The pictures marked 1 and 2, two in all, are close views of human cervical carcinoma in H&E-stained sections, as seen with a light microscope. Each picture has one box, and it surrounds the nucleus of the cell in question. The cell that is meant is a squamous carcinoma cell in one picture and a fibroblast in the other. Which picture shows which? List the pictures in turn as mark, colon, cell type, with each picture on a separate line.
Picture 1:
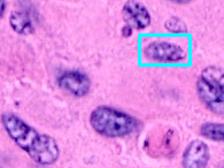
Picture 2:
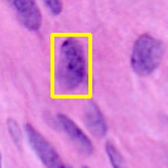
1: squamous carcinoma cell
2: fibroblast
